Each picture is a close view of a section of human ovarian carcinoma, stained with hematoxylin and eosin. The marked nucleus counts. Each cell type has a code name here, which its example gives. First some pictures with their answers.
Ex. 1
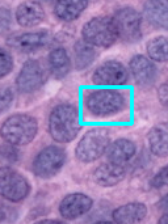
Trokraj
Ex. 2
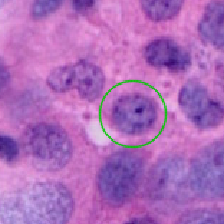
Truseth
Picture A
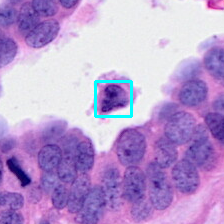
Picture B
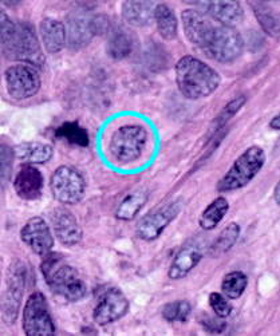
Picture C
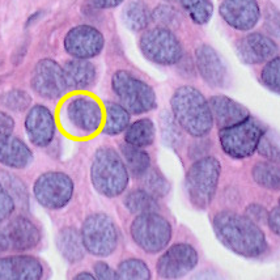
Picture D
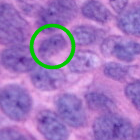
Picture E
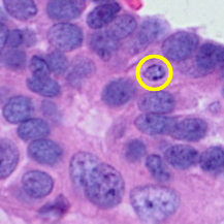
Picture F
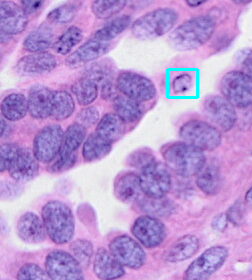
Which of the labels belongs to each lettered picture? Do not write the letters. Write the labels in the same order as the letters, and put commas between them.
Truseth, Truseth, Trokraj, Trokraj, Truseth, Truseth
